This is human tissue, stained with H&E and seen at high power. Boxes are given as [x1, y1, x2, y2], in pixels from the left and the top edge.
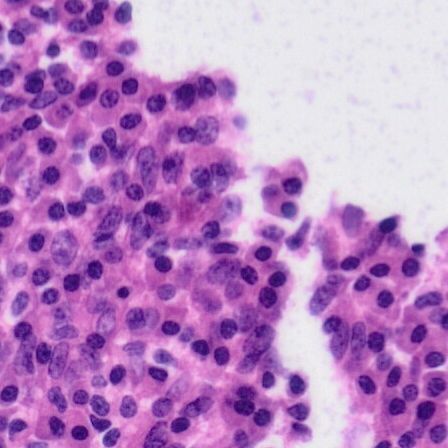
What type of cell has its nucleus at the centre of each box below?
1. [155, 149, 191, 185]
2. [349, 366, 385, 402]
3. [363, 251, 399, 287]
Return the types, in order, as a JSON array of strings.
["squamous epithelial cell", "plasma cell", "plasma cell"]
